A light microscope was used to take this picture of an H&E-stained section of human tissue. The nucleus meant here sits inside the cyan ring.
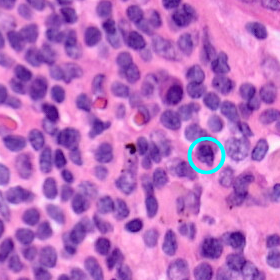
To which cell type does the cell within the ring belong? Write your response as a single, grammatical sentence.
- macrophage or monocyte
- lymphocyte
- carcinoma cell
Labelled by cell type, the cell within the ring is a lymphocyte.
